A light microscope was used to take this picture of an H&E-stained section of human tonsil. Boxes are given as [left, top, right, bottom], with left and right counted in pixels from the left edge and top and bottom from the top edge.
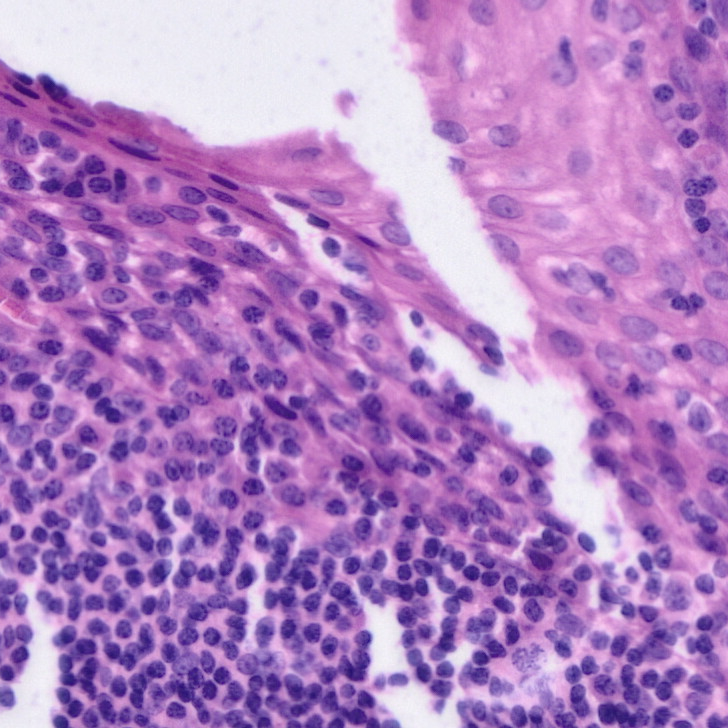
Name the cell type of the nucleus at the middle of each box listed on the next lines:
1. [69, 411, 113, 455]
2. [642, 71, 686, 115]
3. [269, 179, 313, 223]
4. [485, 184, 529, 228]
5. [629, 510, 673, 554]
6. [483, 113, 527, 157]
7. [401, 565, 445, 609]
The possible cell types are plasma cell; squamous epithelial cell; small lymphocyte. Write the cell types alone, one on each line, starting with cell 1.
plasma cell
squamous epithelial cell
squamous epithelial cell
squamous epithelial cell
plasma cell
squamous epithelial cell
small lymphocyte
